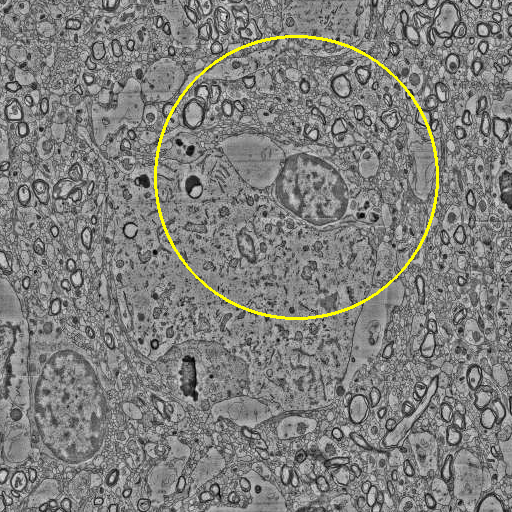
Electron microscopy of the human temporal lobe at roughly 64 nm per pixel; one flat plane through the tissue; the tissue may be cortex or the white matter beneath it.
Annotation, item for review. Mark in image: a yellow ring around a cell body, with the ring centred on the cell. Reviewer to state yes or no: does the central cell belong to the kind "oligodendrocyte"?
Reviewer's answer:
no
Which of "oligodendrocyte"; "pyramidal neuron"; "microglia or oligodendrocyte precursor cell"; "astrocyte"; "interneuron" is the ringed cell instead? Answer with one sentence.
In this picture, the ring is centred on a microglial cell or oligodendrocyte precursor cell.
